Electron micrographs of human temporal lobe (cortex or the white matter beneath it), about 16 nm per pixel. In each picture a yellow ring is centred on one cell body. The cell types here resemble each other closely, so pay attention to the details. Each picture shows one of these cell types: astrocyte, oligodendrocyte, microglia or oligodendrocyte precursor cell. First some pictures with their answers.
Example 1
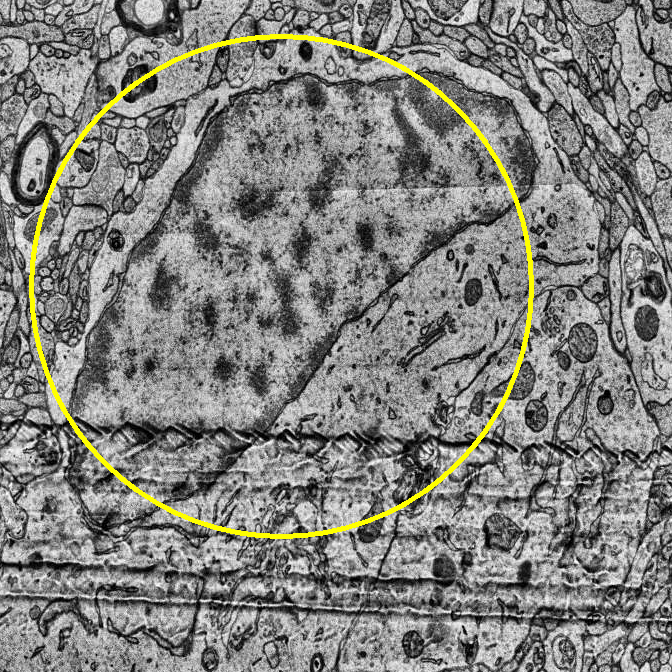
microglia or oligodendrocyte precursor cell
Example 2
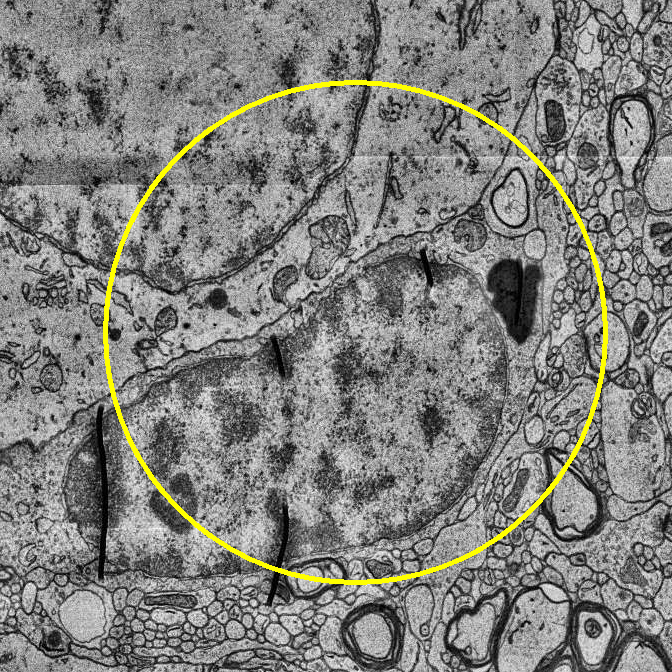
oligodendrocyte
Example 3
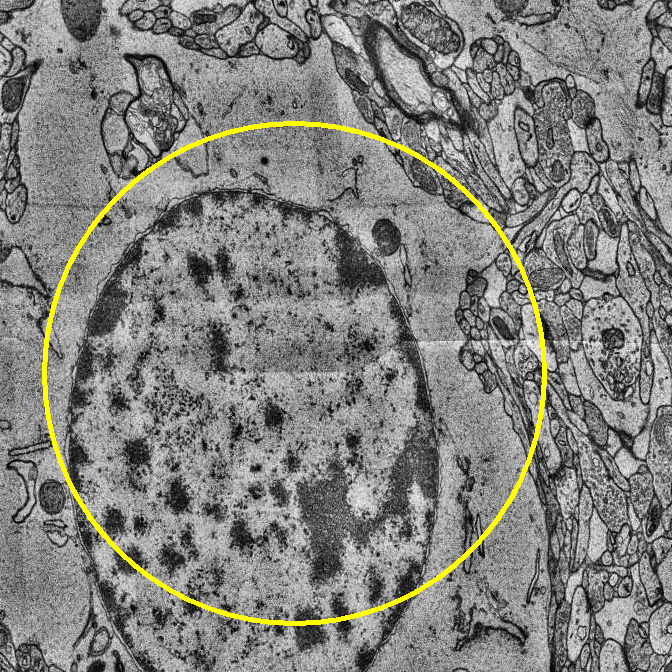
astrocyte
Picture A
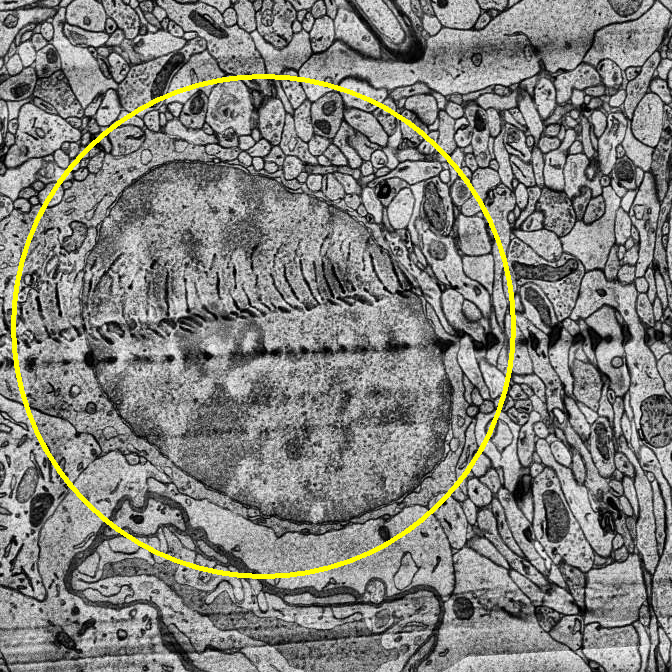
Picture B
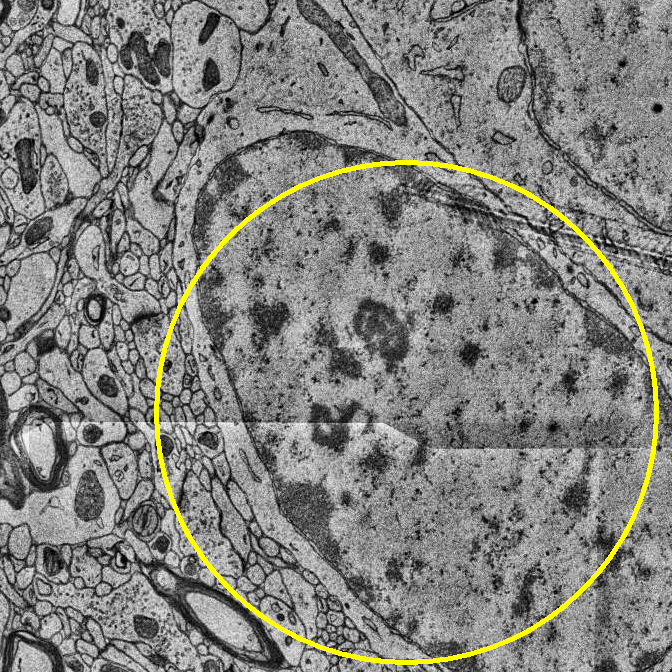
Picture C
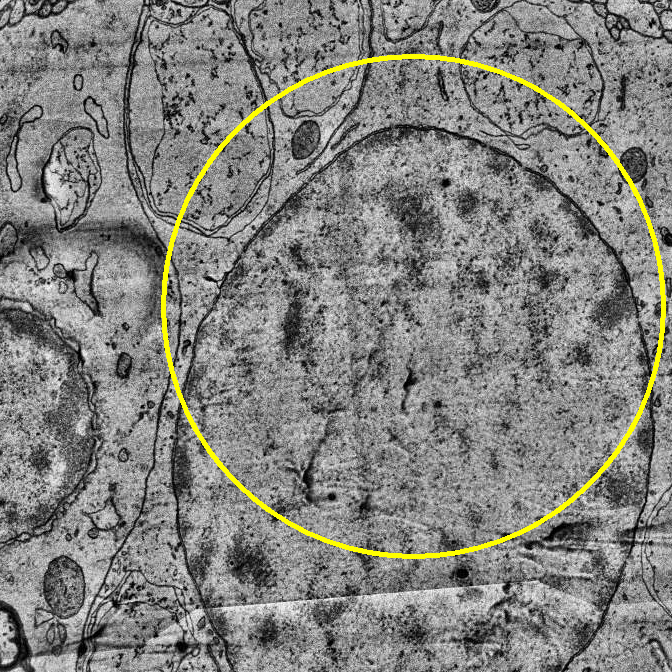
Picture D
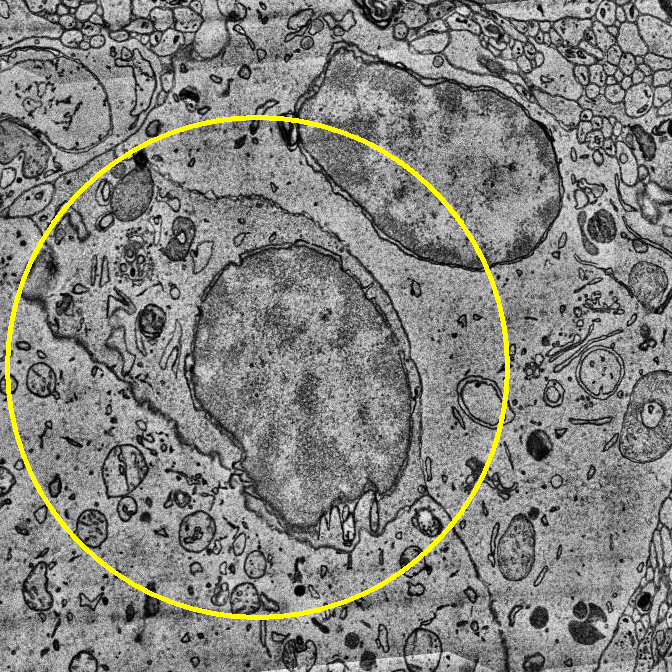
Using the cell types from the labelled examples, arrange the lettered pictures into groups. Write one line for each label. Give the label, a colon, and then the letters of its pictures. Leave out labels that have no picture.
astrocyte: C
oligodendrocyte: A, D
microglia or oligodendrocyte precursor cell: B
